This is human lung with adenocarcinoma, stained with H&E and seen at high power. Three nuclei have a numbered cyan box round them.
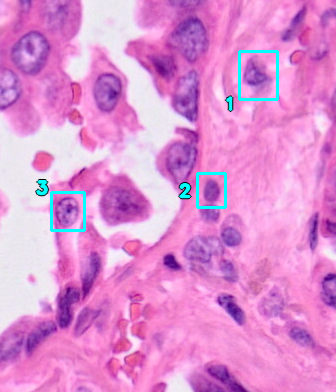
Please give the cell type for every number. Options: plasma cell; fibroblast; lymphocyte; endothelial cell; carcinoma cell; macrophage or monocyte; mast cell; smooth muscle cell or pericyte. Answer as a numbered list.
1. fibroblast
2. lymphocyte
3. macrophage or monocyte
